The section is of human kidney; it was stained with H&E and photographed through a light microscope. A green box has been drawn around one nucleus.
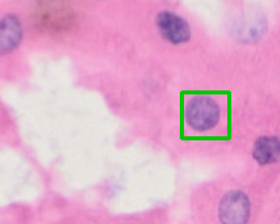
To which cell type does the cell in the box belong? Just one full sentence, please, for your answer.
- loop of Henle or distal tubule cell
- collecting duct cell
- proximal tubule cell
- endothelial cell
Just put down that the cell in the box is a proximal tubule cell.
